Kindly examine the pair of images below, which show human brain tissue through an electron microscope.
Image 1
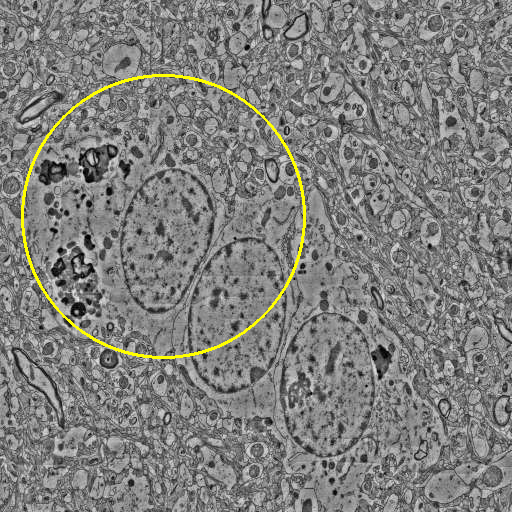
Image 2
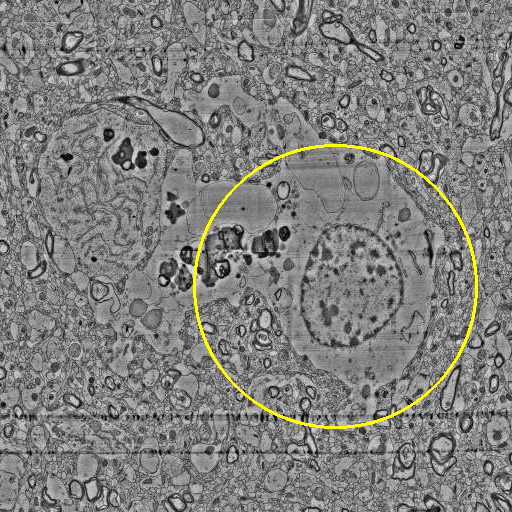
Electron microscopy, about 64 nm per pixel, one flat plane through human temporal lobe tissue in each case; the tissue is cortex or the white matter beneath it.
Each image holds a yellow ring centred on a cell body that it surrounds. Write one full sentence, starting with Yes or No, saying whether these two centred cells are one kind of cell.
Yes, both cells at the centres of the yellow rings belong to one kind of cell.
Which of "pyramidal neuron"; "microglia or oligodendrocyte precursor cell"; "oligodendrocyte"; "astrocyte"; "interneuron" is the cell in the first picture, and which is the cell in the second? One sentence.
The cell in the first picture is an astrocyte, and so is the one in the second.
